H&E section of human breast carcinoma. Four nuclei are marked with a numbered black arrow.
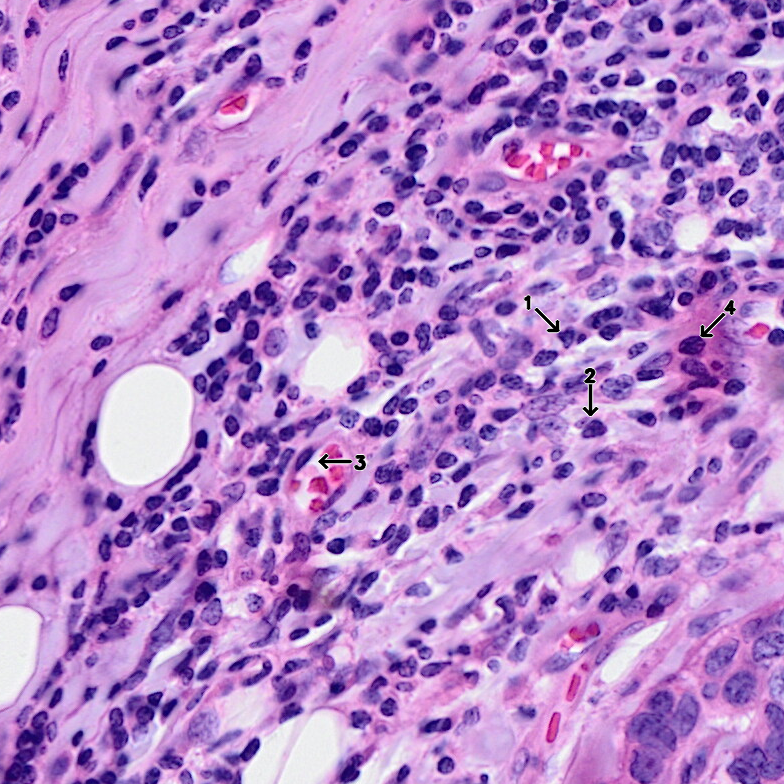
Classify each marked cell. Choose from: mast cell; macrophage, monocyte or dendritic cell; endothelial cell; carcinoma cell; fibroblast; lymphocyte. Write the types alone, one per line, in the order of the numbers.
lymphocyte
lymphocyte
endothelial cell
lymphocyte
